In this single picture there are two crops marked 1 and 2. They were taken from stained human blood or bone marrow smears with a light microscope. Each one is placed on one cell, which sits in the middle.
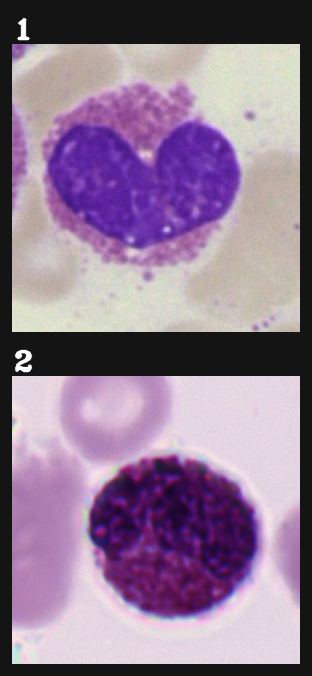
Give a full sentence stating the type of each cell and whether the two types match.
Yes, the cells that the two crops centre on are eosinophils.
